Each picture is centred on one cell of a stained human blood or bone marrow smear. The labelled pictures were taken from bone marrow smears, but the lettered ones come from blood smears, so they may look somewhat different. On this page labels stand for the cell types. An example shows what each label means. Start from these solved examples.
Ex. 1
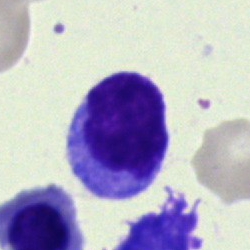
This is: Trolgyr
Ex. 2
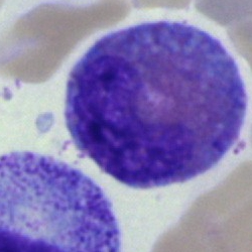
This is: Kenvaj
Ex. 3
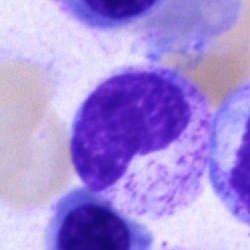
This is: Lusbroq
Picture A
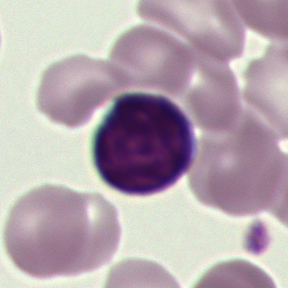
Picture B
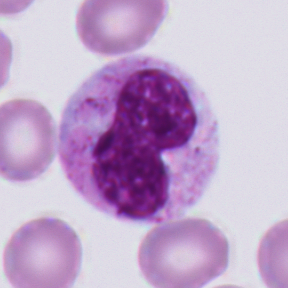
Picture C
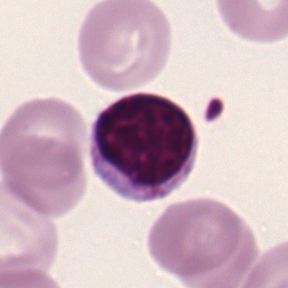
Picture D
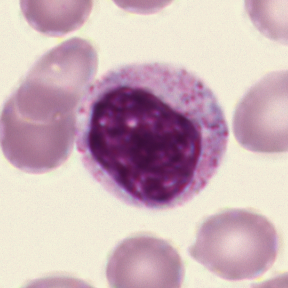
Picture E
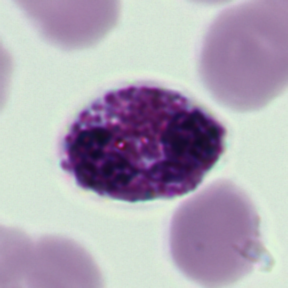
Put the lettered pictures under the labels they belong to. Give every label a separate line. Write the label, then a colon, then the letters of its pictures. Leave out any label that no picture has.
Trolgyr: A, C
Kenvaj: E
Lusbroq: B, D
